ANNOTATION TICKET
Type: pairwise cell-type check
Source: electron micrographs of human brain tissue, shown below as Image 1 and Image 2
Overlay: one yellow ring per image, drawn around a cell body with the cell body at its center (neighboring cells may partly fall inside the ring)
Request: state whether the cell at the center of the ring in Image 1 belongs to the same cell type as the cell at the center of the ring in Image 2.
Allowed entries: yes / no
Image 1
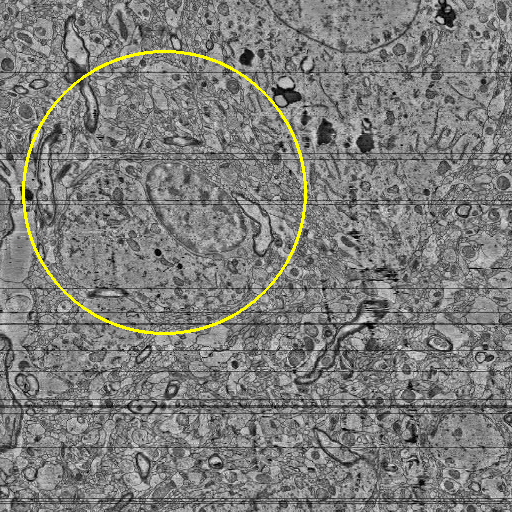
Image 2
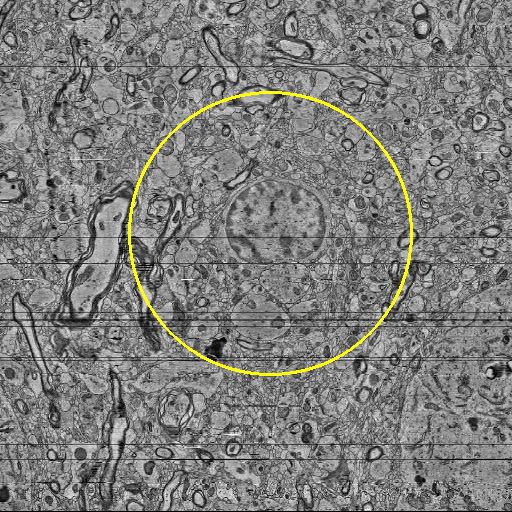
yes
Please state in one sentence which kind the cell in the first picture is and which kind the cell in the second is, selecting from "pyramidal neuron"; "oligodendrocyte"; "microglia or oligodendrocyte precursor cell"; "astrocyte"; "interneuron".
Both pictures show an oligodendrocyte at the centre of the ring.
